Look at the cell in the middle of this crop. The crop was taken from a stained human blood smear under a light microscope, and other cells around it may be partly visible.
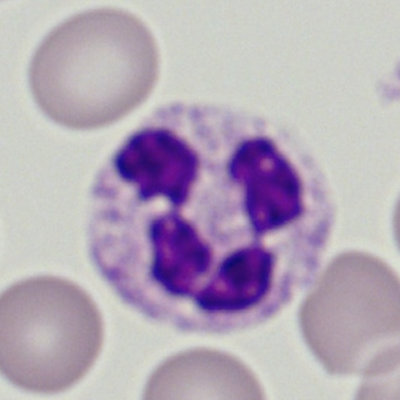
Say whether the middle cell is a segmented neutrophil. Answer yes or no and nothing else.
yes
